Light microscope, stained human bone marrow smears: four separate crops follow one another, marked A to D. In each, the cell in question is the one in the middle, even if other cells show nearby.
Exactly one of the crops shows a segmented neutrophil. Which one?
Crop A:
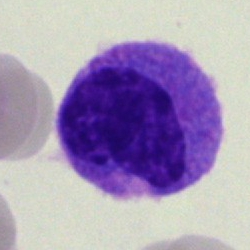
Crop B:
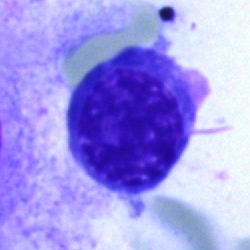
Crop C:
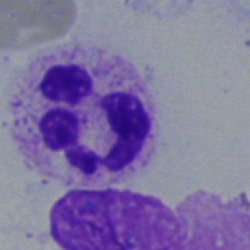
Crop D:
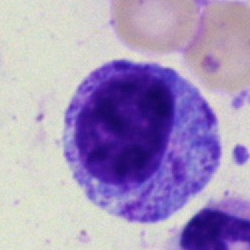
C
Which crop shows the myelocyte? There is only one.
D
